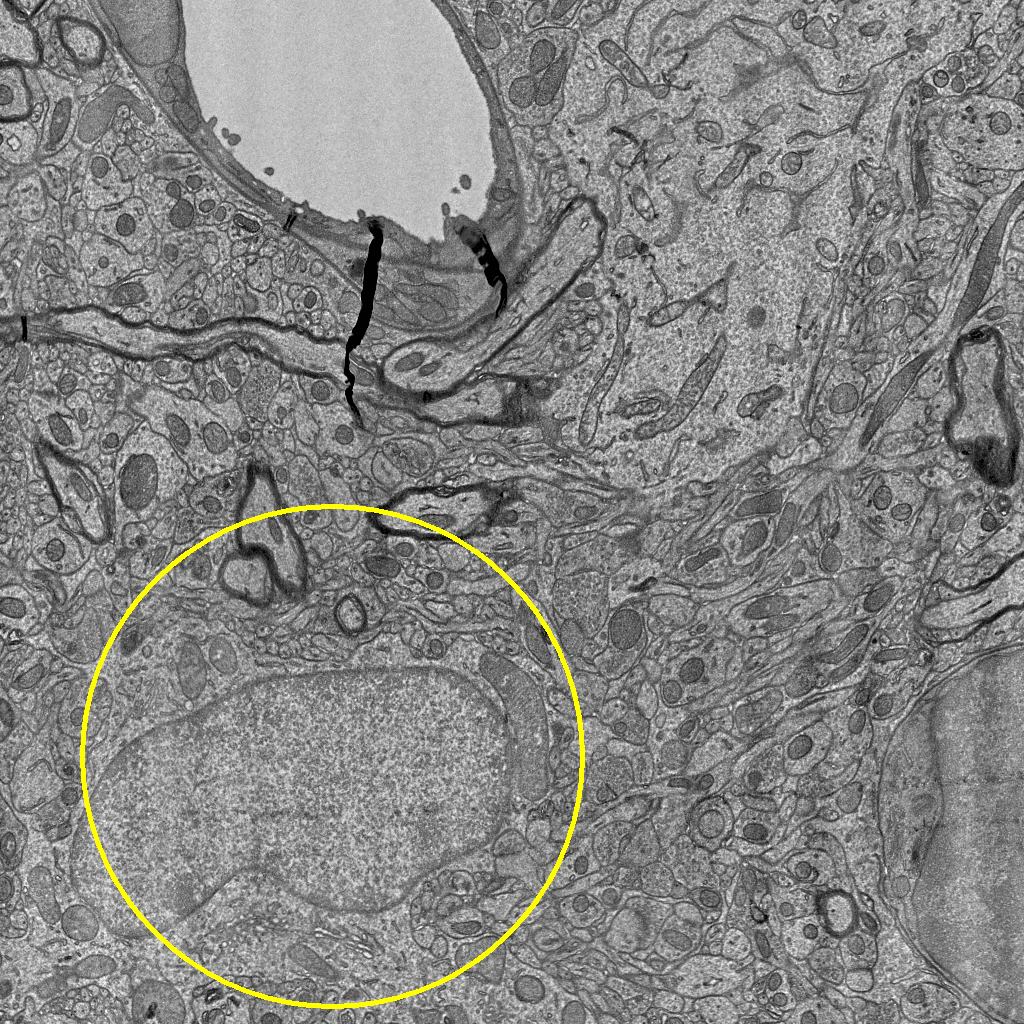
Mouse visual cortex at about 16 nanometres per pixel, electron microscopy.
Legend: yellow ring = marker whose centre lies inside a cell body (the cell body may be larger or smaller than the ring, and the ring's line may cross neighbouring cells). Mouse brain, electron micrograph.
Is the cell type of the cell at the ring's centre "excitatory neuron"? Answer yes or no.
no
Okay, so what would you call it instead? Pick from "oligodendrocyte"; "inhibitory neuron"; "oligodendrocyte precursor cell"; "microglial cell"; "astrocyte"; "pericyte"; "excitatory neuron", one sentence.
The cell enclosed by the ring is an astrocyte.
